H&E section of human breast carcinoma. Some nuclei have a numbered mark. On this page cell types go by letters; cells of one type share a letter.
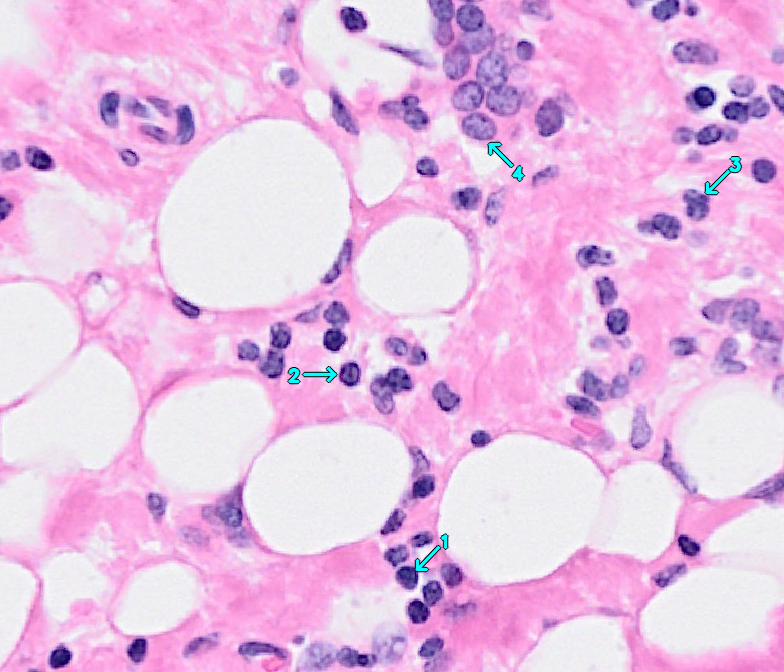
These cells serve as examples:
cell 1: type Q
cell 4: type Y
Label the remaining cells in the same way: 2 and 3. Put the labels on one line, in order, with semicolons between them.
type Q; type Q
